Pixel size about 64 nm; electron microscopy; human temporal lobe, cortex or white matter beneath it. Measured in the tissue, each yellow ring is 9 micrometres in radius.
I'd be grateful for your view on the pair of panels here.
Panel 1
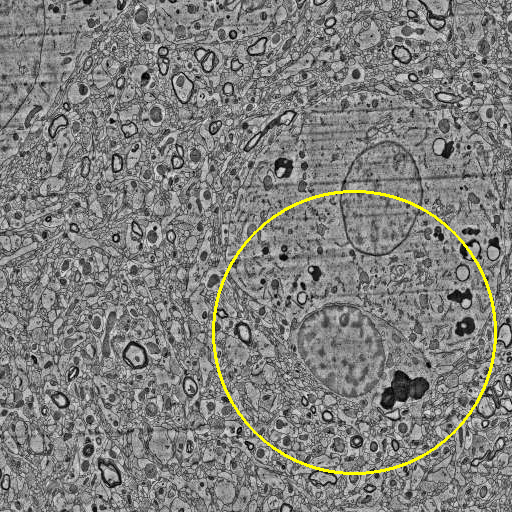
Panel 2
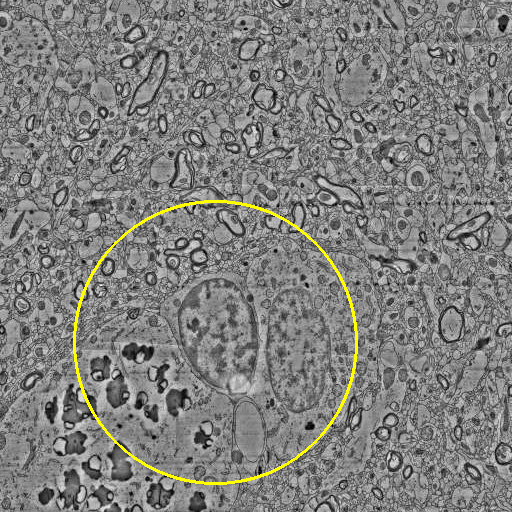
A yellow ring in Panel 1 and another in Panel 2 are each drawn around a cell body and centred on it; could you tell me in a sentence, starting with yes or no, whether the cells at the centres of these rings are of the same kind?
Yes, they are the same kind of cell.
